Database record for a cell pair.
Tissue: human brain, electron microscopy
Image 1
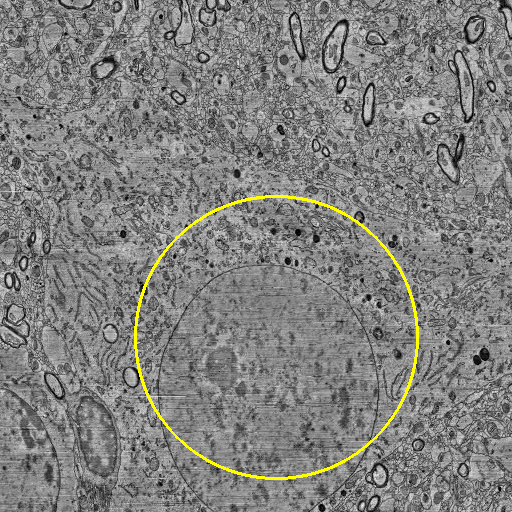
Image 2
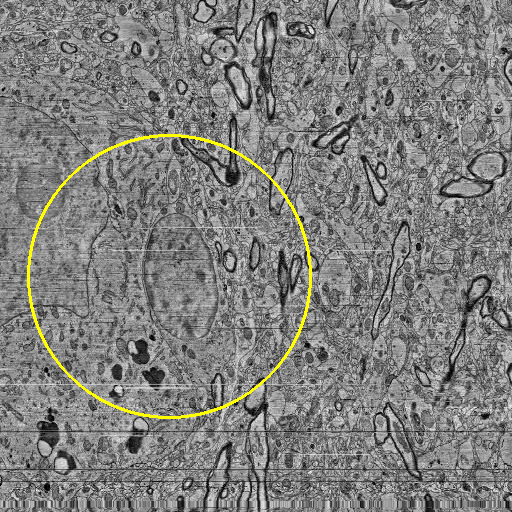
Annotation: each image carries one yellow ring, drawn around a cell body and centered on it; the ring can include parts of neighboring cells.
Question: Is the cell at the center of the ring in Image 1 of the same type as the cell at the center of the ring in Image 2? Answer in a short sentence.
No, the cells are of two types.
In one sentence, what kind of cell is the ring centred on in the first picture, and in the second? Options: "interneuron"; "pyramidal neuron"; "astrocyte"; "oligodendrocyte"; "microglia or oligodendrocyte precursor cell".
The cell at the centre of the second ring is an oligodendrocyte; the first ring's cell is a pyramidal neuron.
